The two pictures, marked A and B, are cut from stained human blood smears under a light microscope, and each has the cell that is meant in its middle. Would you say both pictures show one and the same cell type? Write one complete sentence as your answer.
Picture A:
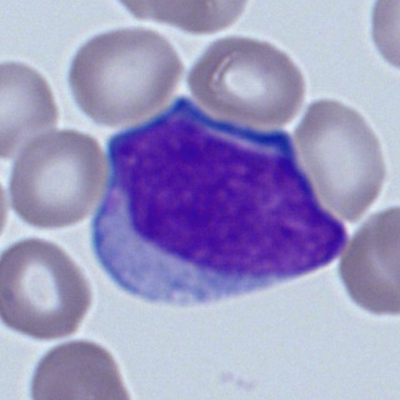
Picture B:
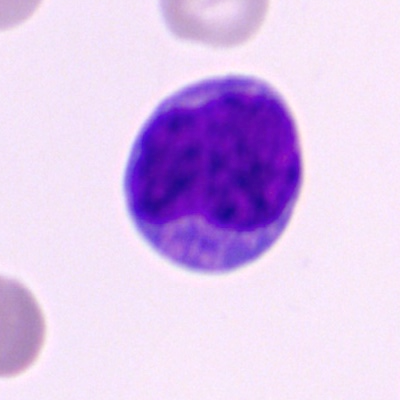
Yes, both cells are myeloblasts.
